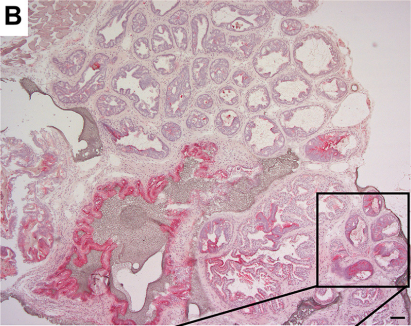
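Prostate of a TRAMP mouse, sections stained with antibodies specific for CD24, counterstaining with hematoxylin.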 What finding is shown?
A: Hyperplastic lesions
